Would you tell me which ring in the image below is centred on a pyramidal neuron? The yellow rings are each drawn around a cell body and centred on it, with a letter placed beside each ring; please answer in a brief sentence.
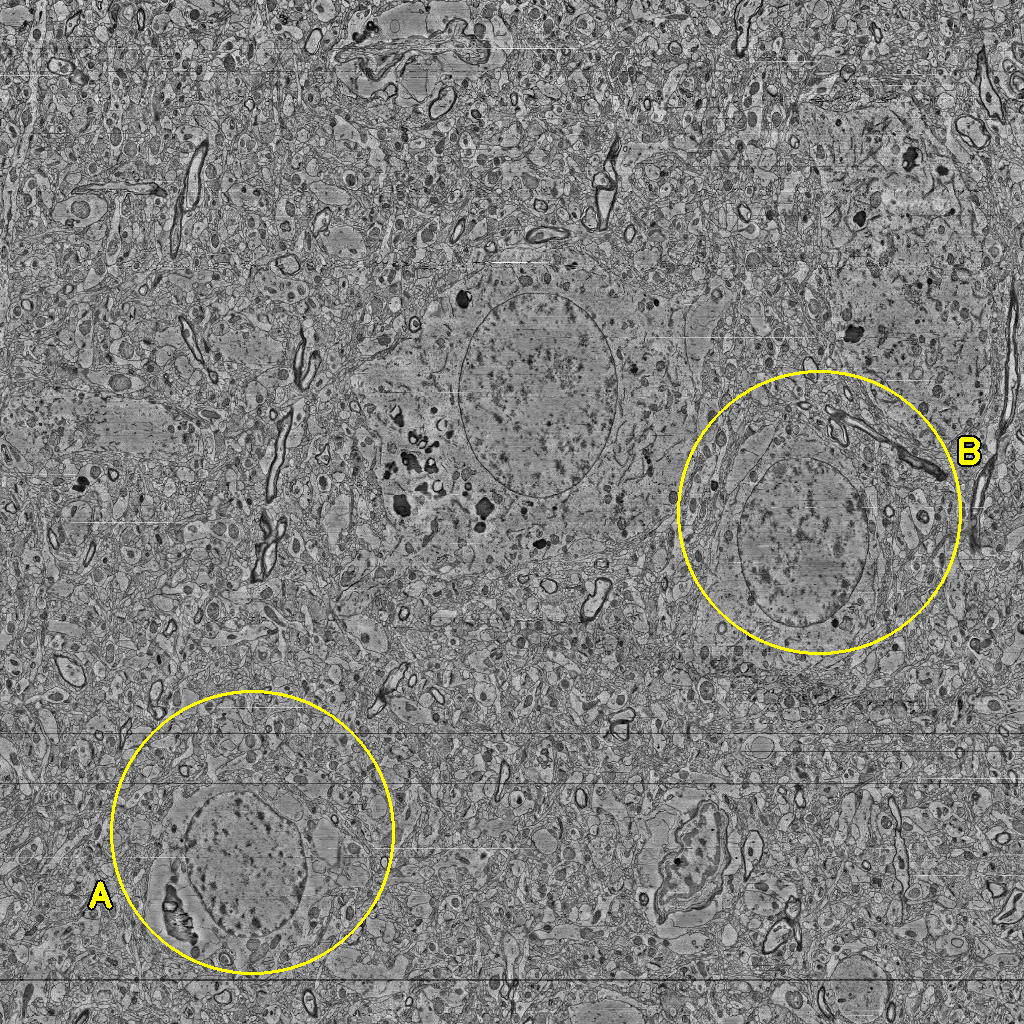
Ring B is centred on it.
